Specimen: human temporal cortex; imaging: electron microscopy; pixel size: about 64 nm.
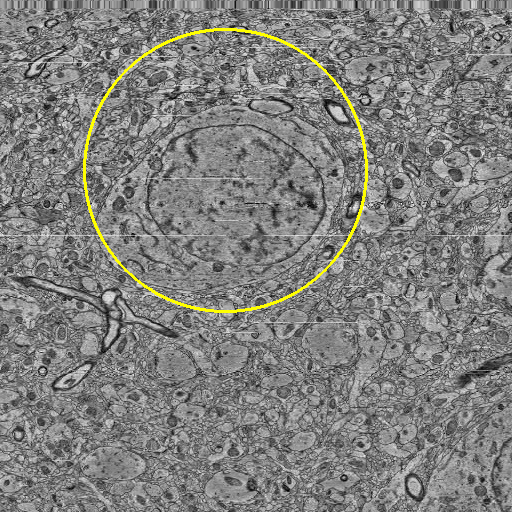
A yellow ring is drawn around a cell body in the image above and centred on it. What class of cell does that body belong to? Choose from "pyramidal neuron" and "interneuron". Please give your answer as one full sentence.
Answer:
The yellow ring above is centred on the cell body of a pyramidal neuron.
